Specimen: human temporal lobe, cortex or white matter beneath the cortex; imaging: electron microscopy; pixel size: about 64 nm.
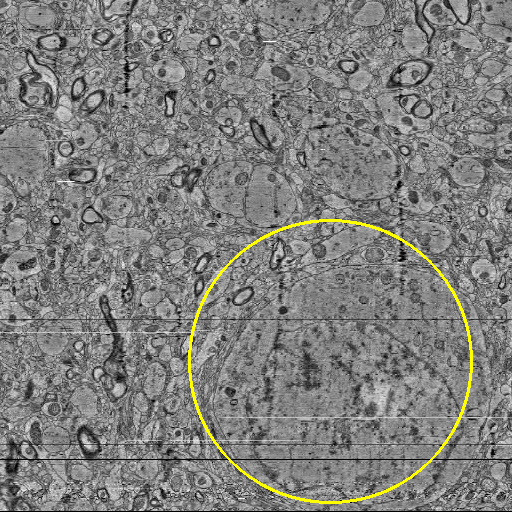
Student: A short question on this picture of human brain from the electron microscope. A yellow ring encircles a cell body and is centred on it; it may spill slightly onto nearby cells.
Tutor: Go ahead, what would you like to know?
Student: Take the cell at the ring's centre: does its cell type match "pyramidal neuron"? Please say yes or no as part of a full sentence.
Yes, in the picture, the cell at the ring's centre has that cell type.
